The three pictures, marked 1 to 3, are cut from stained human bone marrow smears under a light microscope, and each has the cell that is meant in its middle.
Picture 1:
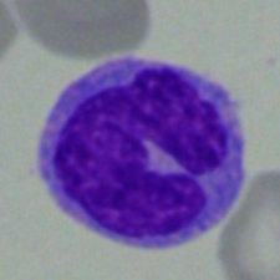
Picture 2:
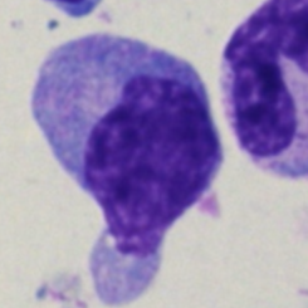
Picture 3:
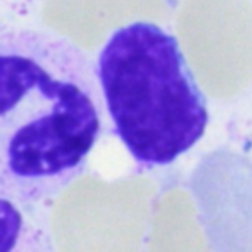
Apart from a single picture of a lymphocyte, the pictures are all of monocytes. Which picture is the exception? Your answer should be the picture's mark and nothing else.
3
